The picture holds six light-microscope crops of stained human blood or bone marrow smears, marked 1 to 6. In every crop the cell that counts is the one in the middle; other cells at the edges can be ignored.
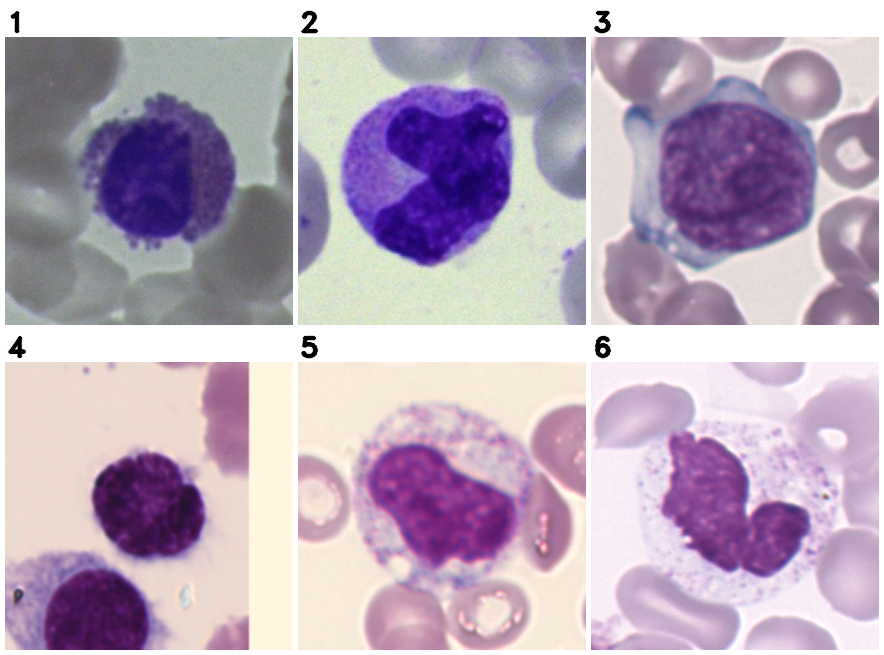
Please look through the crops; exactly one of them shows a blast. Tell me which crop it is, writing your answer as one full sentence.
The sole crop showing a blast is crop 3.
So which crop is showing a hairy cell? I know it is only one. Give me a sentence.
Of the labelled crops, the one that shows a hairy cell is crop 4.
